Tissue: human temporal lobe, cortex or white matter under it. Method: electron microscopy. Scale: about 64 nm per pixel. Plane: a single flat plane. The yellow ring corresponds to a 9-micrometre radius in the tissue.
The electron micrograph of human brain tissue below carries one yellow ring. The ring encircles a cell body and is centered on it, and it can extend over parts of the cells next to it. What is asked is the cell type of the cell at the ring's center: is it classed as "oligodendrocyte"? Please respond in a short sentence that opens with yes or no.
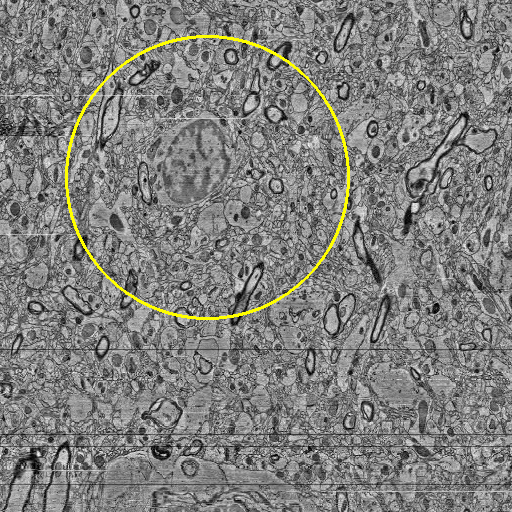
Yes, it is classed that way.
